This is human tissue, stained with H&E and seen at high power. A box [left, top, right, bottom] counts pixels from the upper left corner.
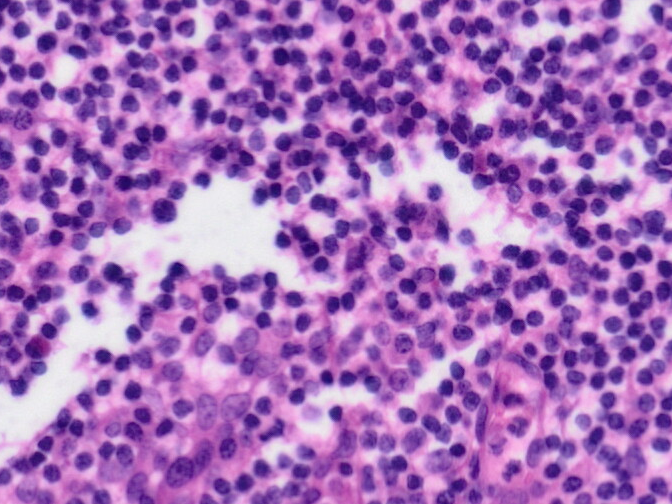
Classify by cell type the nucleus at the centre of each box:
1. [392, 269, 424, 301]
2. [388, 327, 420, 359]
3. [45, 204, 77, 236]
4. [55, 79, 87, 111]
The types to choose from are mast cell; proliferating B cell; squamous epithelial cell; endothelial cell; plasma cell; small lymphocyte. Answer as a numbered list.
1. small lymphocyte
2. plasma cell
3. small lymphocyte
4. small lymphocyte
